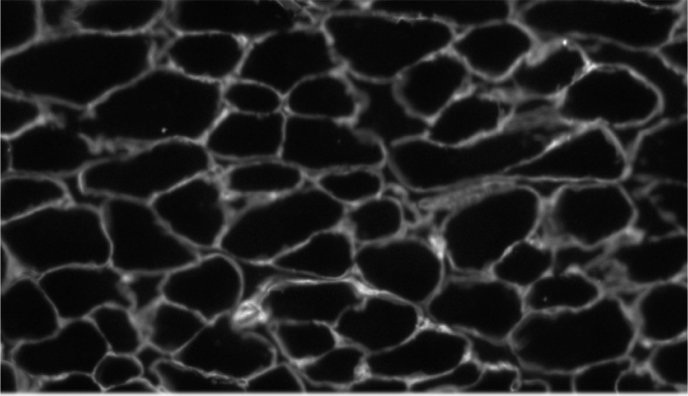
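This cross-section of skeletal muscle shows closely packed muscle fibers cut transversely, each appearing as a dark polygonal profile. A thin, bright line rims every fiber, tracing the basal lamina that surrounds it. The fibers vary somewhat in size and shape but fit together like a mosaic with little space between them. Where several fibers meet, the bright lines thicken into small brighter patches in the narrow spaces between fibers. The interior of the fibers is unlabelled.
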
